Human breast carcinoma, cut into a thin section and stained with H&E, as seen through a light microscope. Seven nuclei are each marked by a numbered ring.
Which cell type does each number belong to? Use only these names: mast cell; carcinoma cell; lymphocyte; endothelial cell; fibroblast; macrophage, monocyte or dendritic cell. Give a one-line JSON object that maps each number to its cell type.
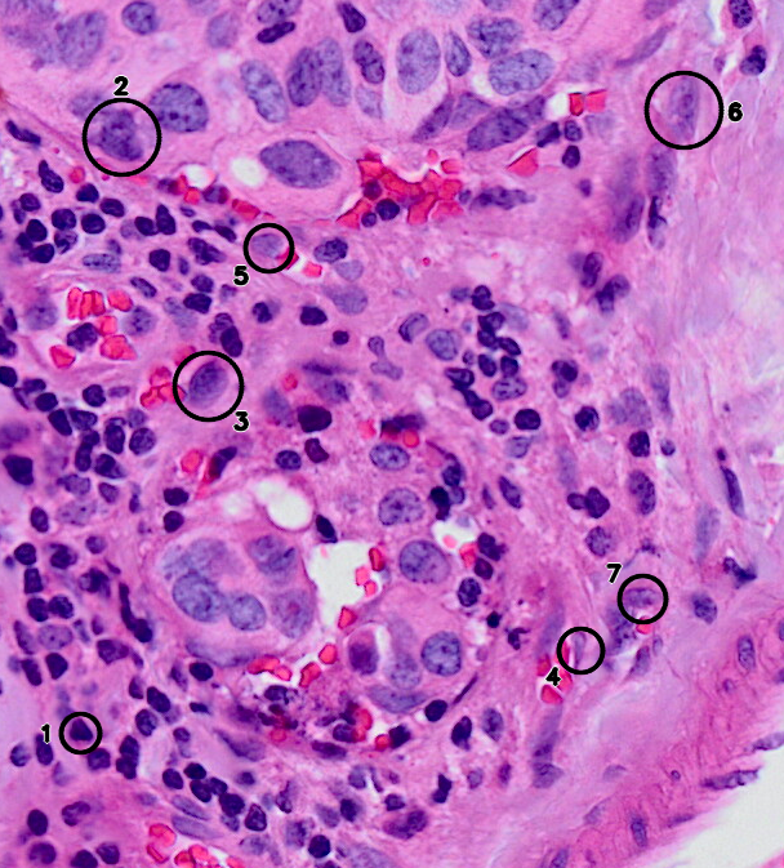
{"1": "lymphocyte", "2": "carcinoma cell", "3": "endothelial cell", "4": "endothelial cell", "5": "endothelial cell", "6": "fibroblast", "7": "endothelial cell"}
